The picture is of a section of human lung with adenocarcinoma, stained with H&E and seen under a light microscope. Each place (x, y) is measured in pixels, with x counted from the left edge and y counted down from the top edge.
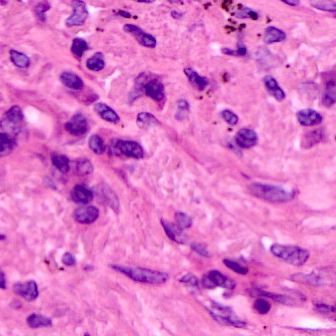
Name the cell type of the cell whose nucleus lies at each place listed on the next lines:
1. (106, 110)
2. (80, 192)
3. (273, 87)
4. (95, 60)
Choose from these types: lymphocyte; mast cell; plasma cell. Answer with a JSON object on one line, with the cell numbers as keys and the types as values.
{"1": "mast cell", "2": "plasma cell", "3": "lymphocyte", "4": "lymphocyte"}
